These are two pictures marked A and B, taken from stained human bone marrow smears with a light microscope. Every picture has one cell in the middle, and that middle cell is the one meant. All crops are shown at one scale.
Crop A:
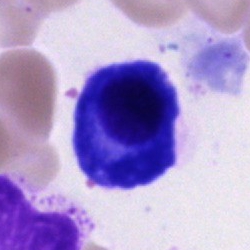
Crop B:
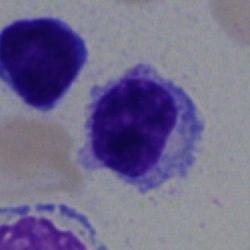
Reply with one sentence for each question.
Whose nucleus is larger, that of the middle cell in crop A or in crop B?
Crop A shows the larger nucleus; it covers about 1.5 times the area of the nucleus in crop B.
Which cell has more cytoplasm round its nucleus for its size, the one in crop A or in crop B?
In crop B the nucleus takes up the smaller part of its cell.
